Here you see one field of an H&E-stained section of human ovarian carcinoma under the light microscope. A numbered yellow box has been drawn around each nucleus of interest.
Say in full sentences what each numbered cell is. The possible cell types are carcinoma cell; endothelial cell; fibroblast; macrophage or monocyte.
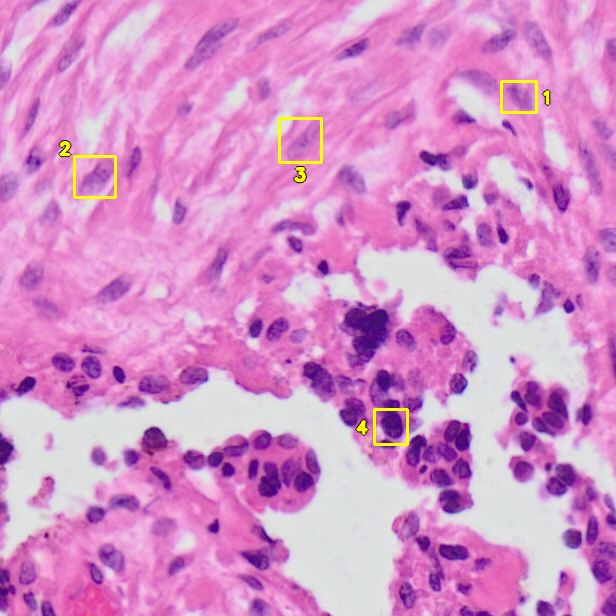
Cell 1 is a fibroblast, cell 2 is a fibroblast, cell 3 is a fibroblast and cell 4 is a carcinoma cell.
